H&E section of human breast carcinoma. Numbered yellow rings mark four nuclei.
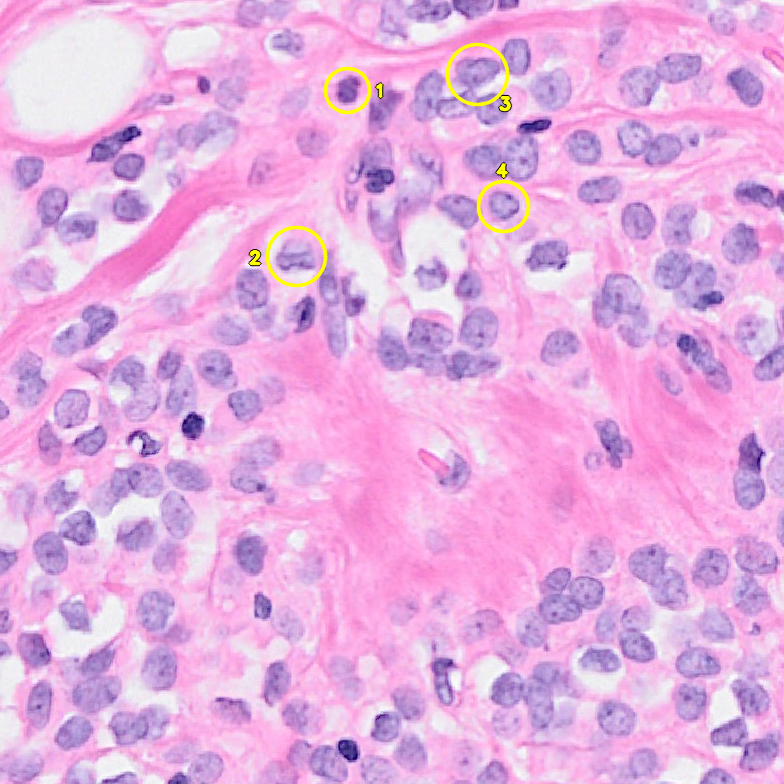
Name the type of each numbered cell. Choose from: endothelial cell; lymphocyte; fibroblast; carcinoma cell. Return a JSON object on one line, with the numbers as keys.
{"1": "lymphocyte", "2": "carcinoma cell", "3": "carcinoma cell", "4": "carcinoma cell"}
